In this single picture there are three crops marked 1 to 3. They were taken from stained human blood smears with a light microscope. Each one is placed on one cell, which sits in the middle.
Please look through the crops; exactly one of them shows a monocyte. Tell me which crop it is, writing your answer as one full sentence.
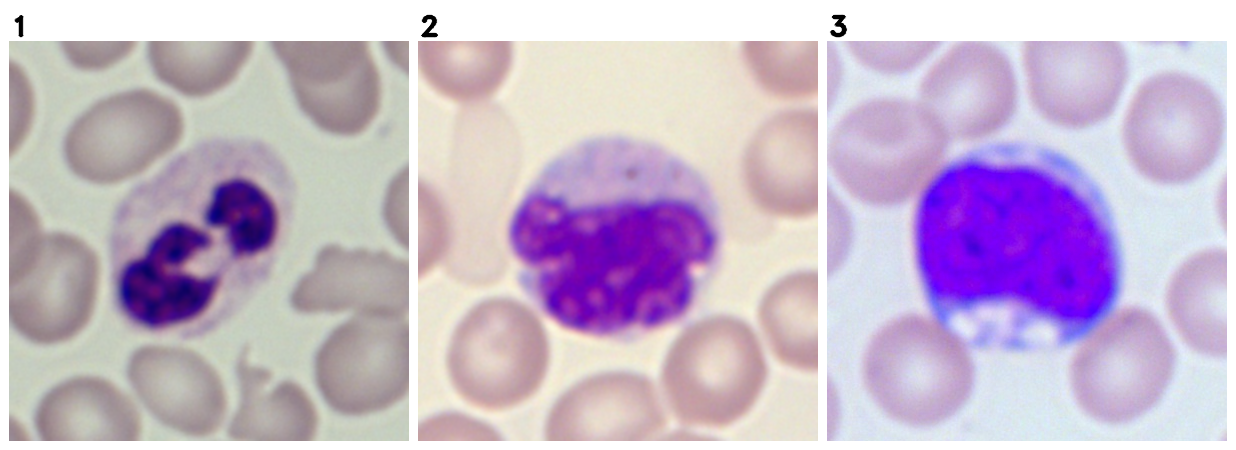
It is the cell in crop 2 that is a monocyte.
